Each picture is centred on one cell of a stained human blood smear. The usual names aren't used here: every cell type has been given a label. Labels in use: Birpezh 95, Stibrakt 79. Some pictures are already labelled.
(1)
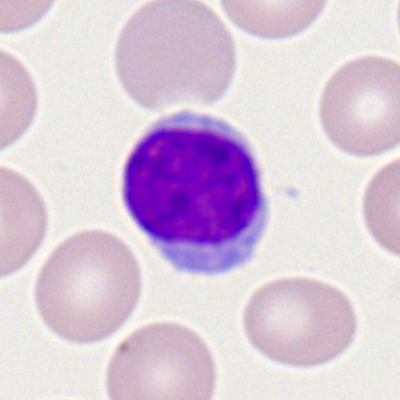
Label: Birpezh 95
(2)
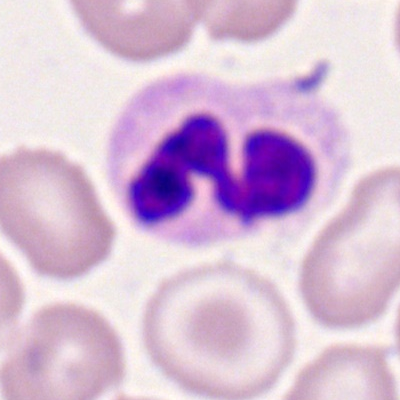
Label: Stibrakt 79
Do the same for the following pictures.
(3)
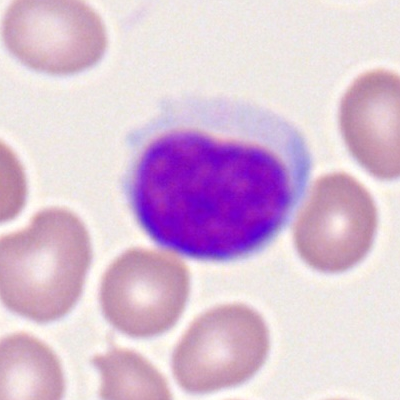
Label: Birpezh 95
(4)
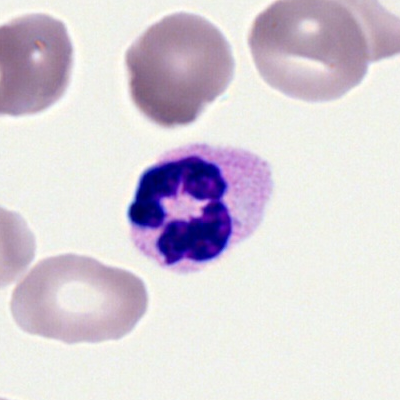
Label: Stibrakt 79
